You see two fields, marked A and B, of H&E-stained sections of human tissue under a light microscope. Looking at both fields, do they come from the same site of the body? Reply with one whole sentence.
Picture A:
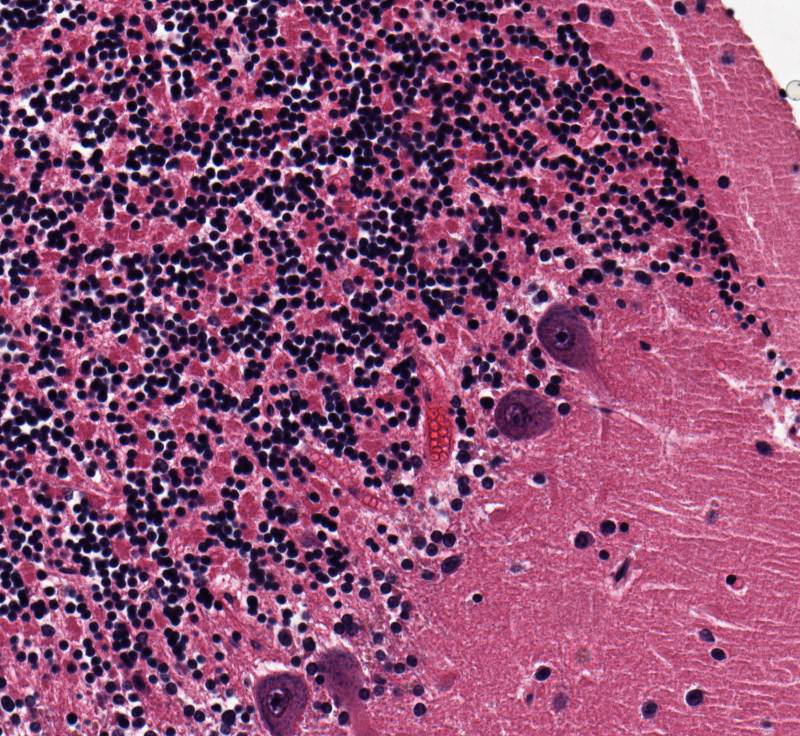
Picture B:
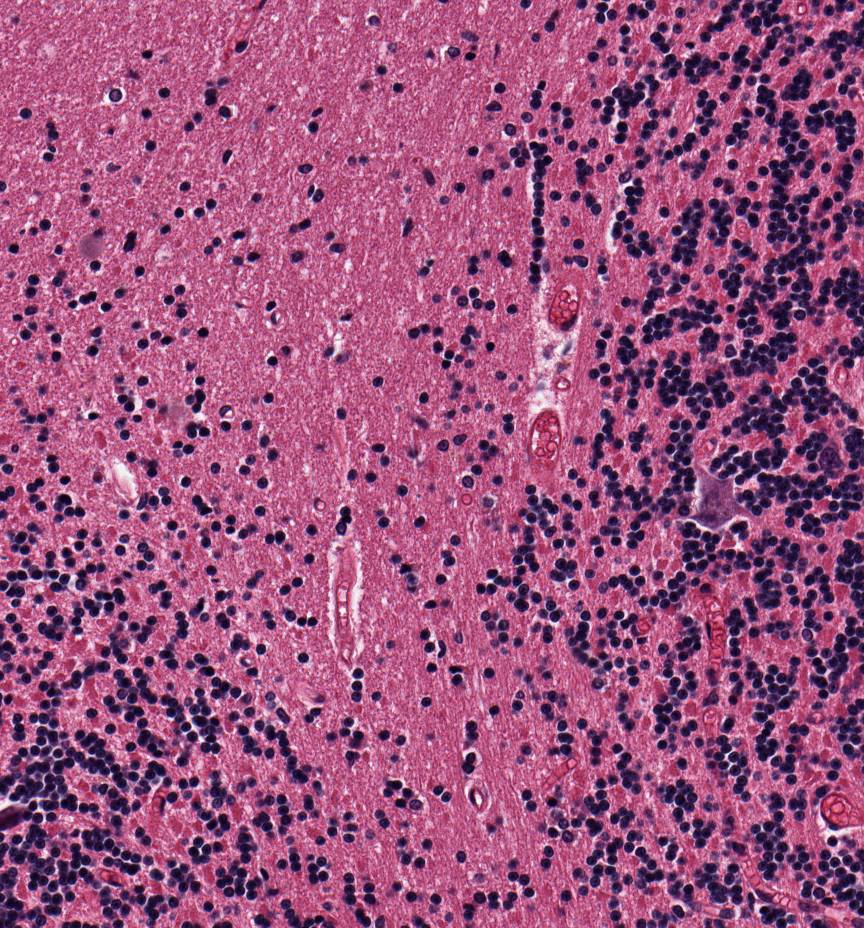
Yes, they come from the same site of the body: both come from the cerebellum.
